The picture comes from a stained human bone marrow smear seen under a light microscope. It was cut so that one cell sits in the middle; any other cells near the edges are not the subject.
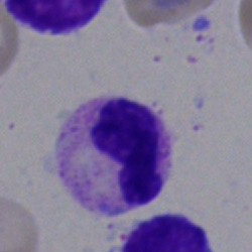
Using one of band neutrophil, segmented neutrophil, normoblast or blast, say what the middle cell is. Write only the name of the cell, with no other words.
band neutrophil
